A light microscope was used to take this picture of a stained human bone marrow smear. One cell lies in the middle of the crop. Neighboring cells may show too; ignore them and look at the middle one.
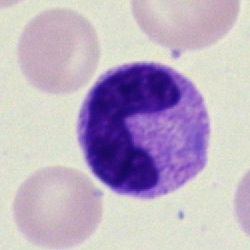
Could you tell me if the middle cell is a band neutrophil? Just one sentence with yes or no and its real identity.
Yes, the cell centred in this crop is a band neutrophil.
